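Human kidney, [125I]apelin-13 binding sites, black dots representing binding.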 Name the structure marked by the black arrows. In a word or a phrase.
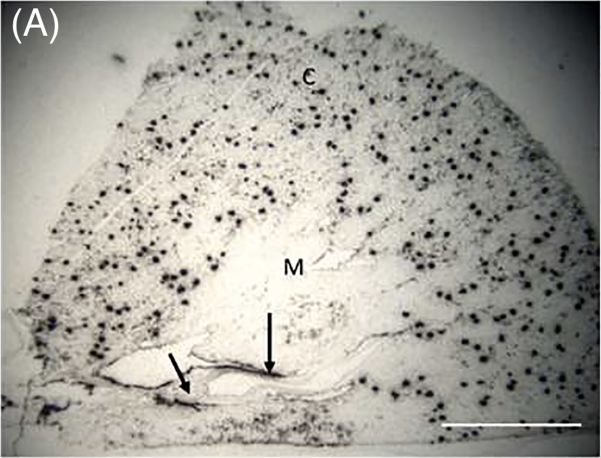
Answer: blood vessel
